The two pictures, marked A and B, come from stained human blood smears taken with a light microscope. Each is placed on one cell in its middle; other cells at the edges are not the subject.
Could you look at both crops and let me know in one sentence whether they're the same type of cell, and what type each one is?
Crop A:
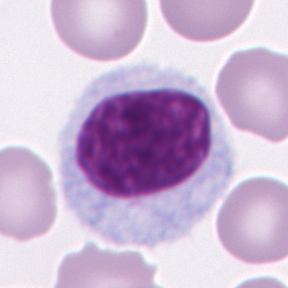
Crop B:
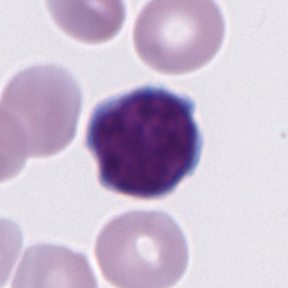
No, crop A has a hairy cell at its center, and crop B has a typical lymphocyte.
